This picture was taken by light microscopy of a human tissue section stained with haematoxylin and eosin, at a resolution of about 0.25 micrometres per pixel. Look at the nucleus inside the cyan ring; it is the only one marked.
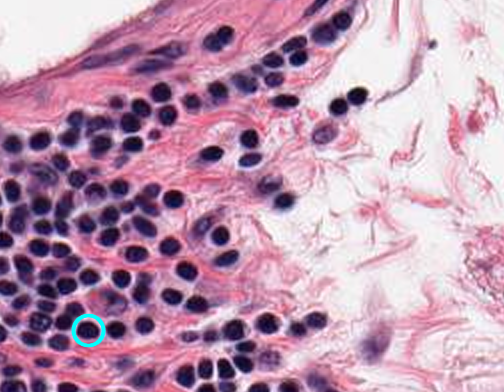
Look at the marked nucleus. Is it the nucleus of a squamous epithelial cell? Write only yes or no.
no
